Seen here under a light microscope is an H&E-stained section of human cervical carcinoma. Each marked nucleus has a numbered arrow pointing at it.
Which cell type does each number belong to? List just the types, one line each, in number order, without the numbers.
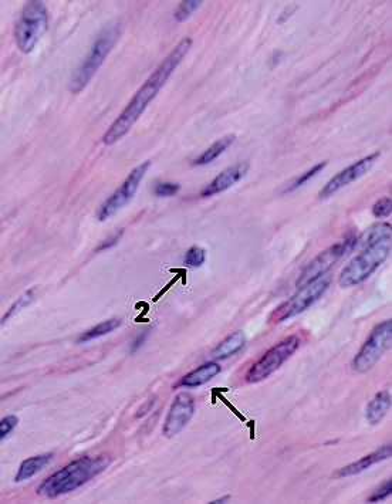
endothelial cell
fibroblast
